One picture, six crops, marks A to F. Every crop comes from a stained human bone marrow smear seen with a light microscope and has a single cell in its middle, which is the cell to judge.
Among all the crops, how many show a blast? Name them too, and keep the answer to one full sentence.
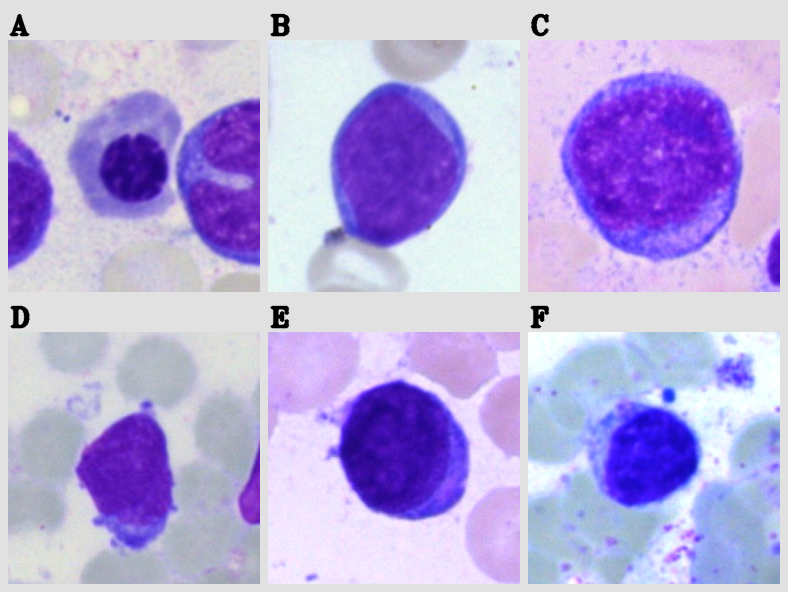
Here, four crops, B, C, D and E, show blasts.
